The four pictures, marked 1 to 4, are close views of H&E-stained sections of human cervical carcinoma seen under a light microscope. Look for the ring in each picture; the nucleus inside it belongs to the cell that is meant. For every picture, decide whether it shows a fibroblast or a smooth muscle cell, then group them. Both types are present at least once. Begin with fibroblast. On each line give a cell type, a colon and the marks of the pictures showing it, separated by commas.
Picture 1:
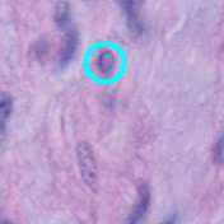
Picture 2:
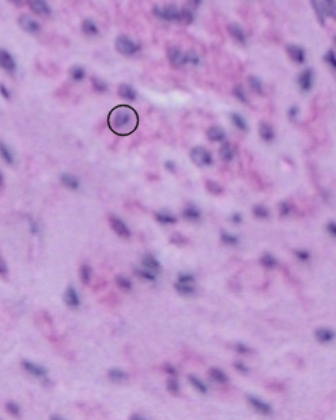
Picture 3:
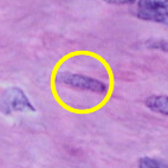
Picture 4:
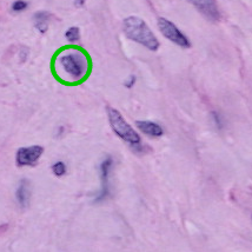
fibroblast: 4
smooth muscle cell: 1, 2, 3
